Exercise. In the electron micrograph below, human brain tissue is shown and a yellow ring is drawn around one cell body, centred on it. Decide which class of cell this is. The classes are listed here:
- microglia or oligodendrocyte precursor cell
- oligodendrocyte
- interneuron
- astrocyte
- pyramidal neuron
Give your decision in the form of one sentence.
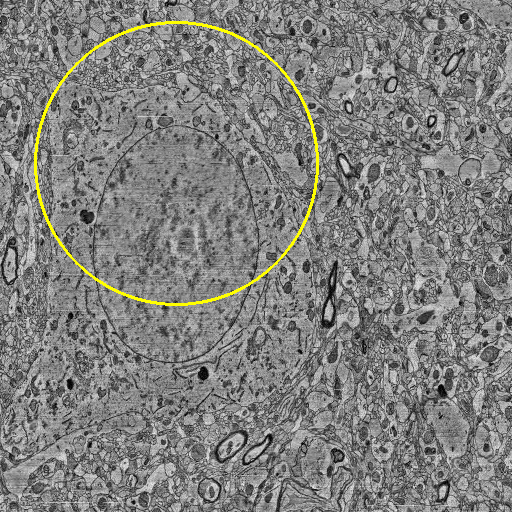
The cell body marked by the ring belongs to a pyramidal neuron.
